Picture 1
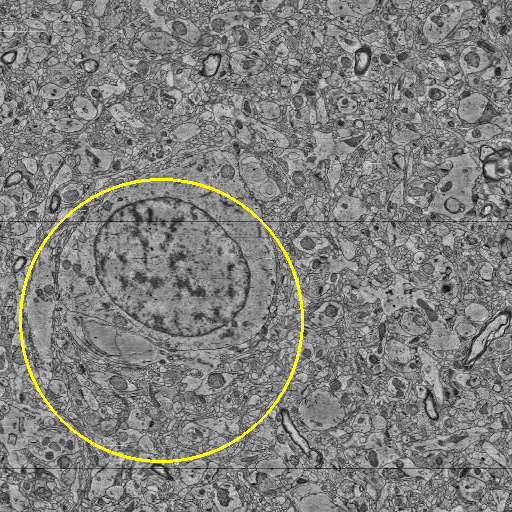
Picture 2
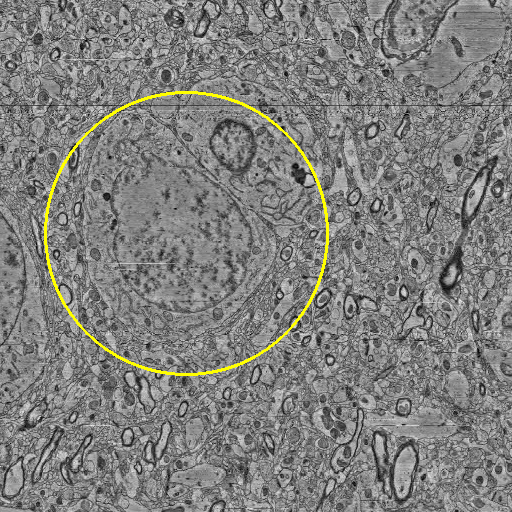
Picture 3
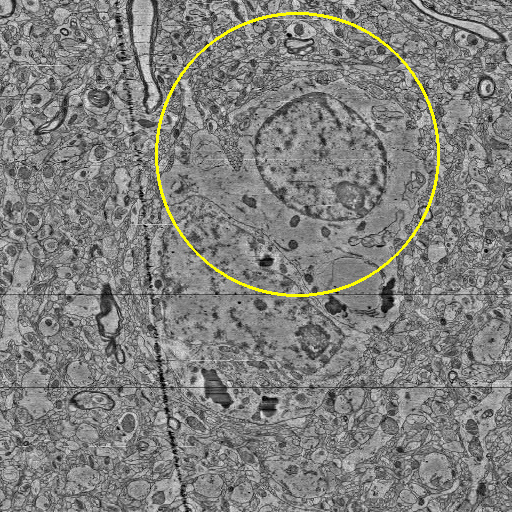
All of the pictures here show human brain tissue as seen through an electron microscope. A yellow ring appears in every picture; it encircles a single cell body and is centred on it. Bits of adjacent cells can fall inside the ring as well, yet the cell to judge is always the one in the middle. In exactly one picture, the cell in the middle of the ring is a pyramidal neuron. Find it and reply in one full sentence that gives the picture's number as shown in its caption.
Of all the pictures, picture 1 has the right cell at the centre of its ring.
